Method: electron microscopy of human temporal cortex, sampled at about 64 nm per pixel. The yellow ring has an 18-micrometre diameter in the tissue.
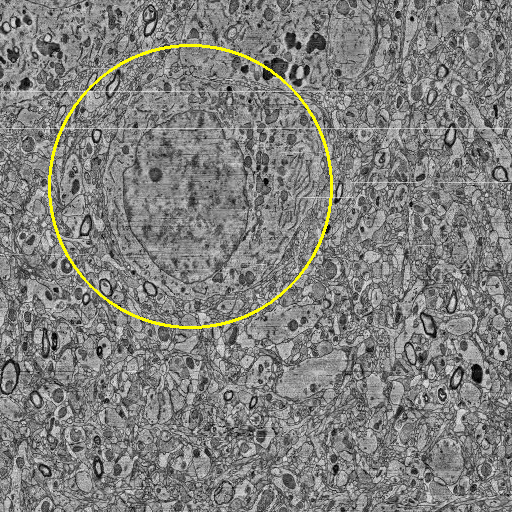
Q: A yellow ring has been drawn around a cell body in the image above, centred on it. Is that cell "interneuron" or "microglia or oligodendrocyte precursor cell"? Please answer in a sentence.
The ring surrounds the cell body of an interneuron.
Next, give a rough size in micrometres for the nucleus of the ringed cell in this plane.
The nucleus comes to roughly 11 by 8 micrometres in this plane.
